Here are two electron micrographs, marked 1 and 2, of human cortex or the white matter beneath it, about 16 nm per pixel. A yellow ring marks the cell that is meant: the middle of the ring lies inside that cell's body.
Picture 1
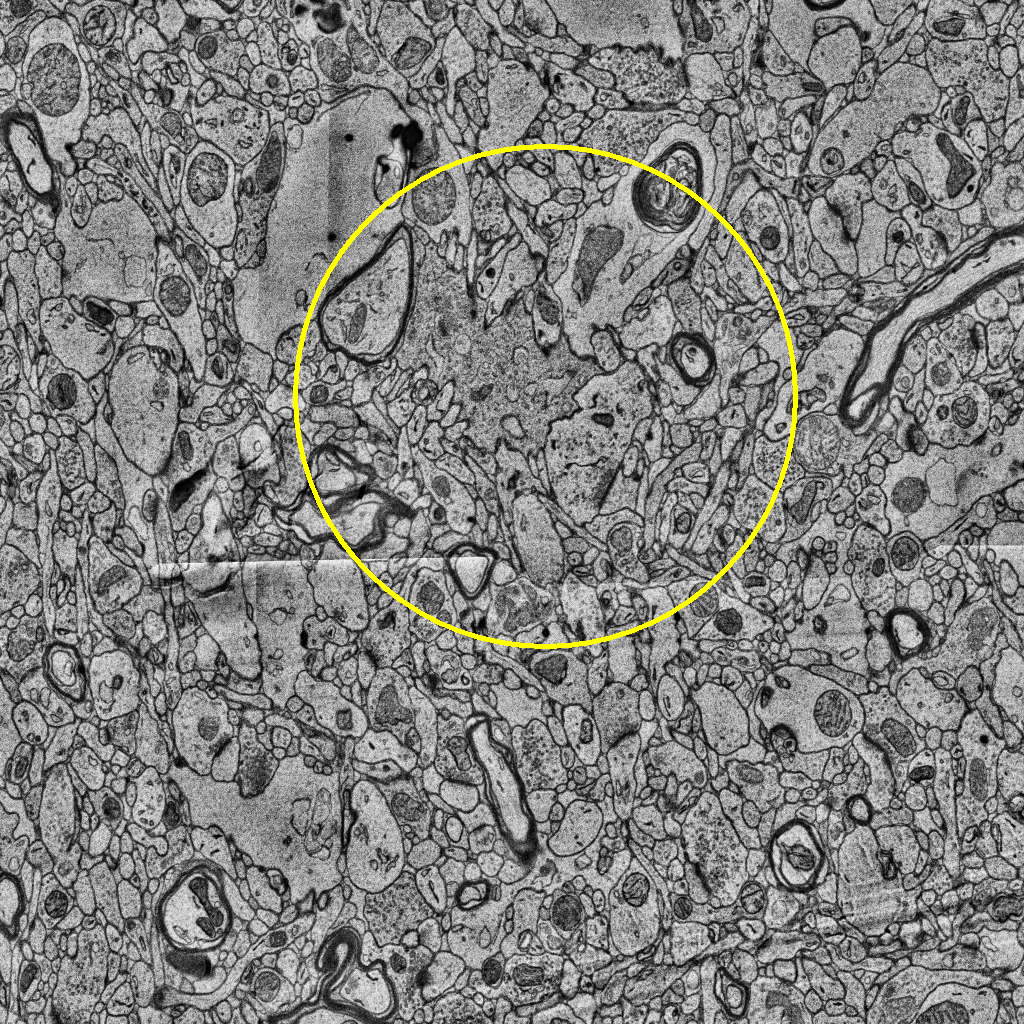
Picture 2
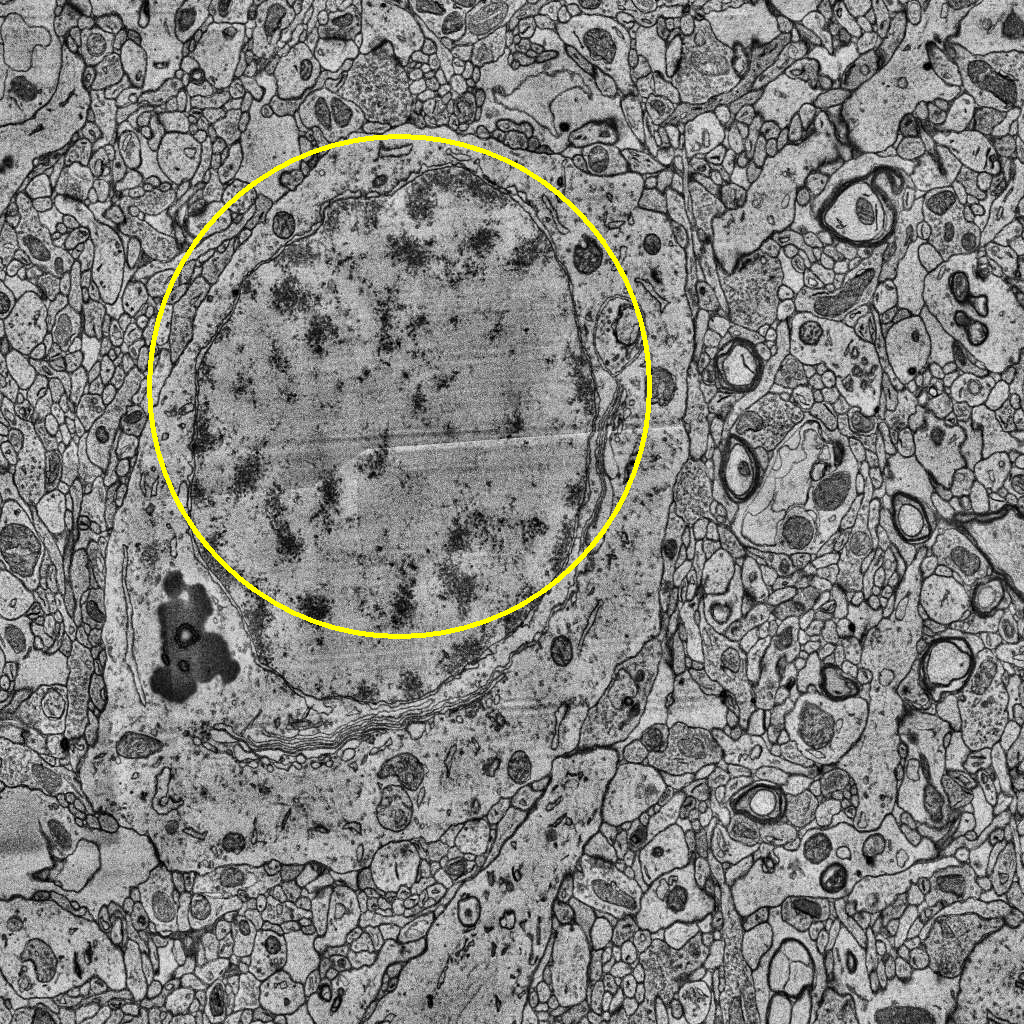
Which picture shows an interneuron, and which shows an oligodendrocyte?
It is picture 1 that shows an oligodendrocyte, and picture 2 that shows an interneuron.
